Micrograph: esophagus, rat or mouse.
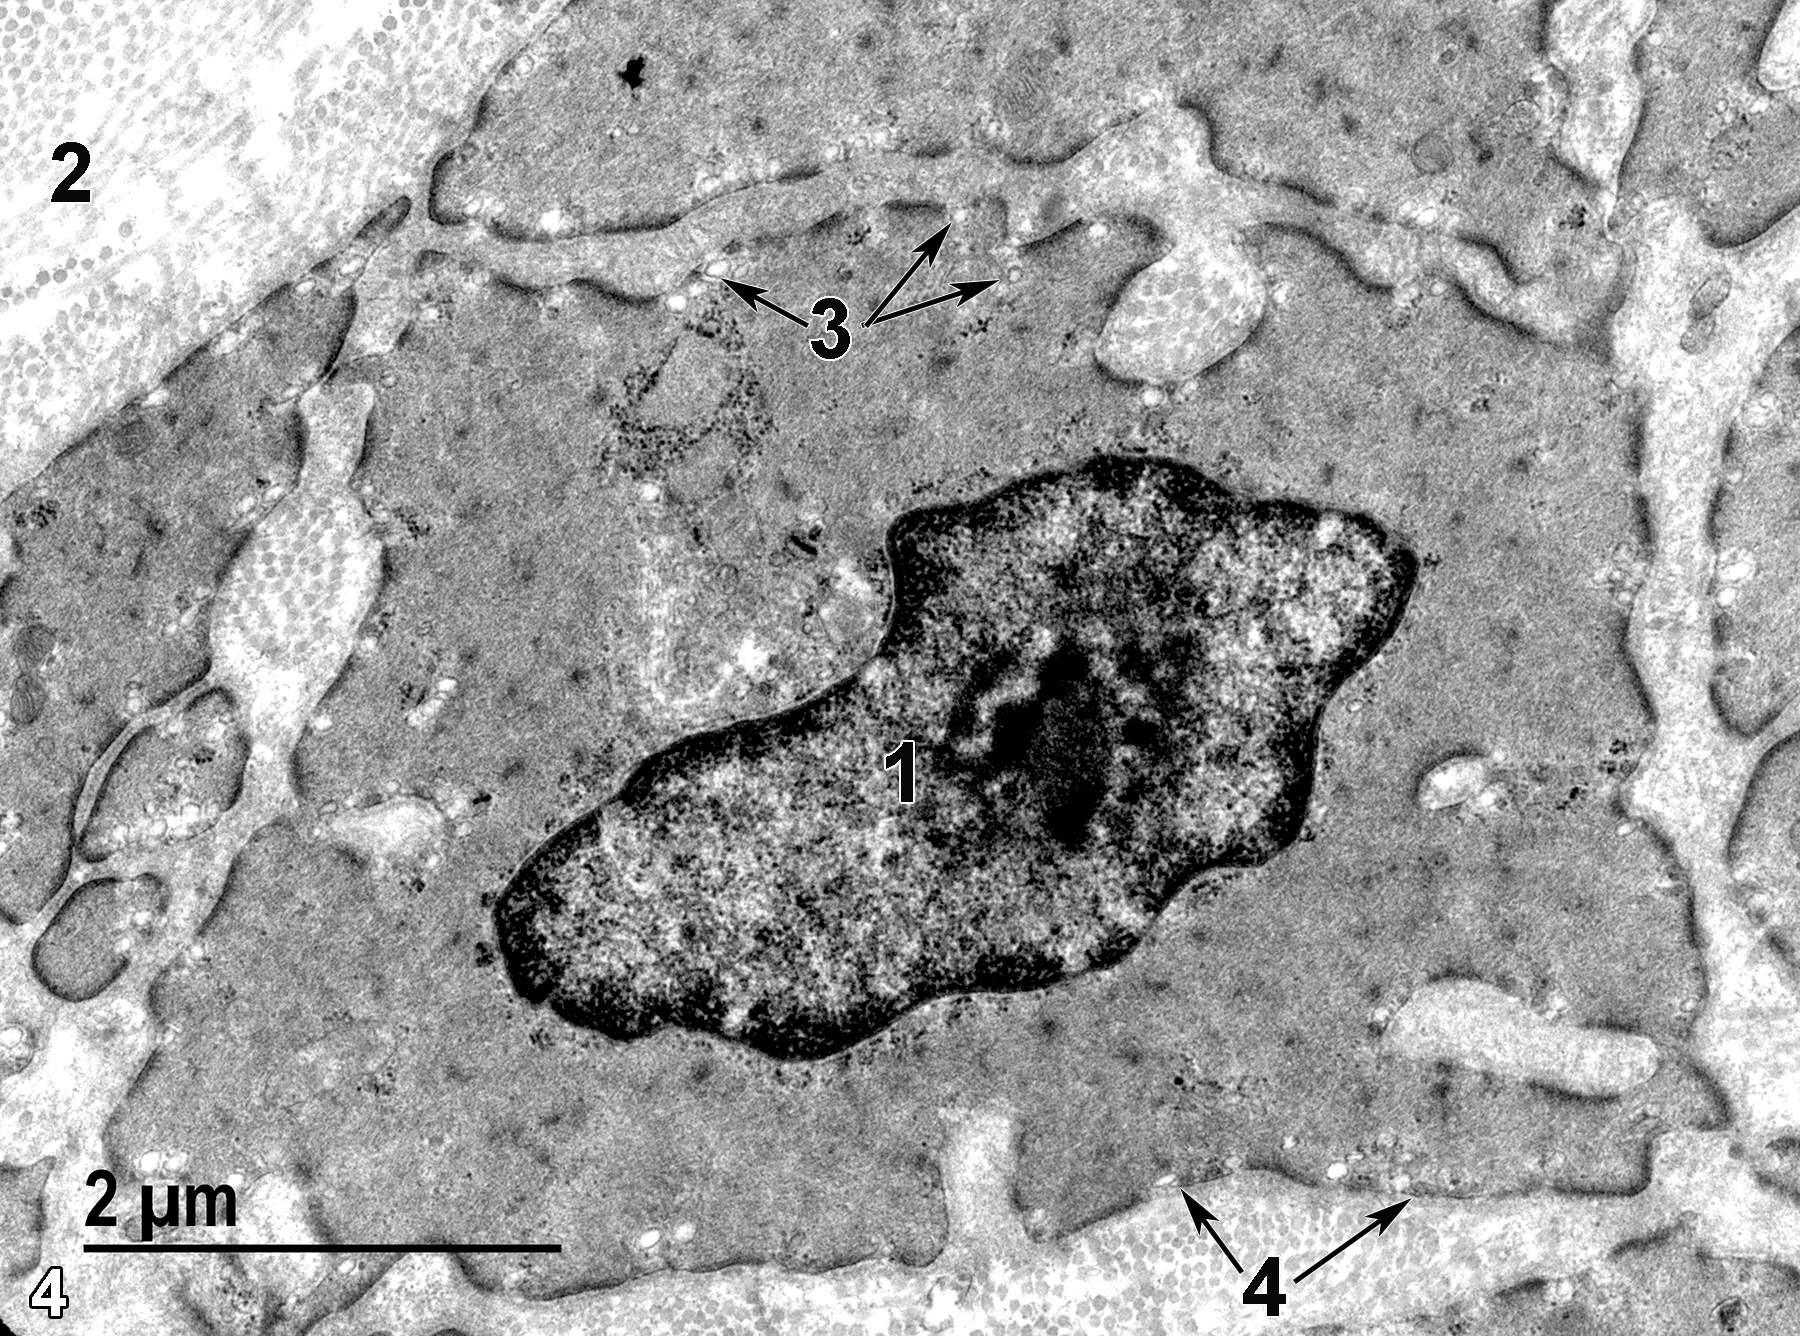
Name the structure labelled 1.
1 marks the nucleus.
